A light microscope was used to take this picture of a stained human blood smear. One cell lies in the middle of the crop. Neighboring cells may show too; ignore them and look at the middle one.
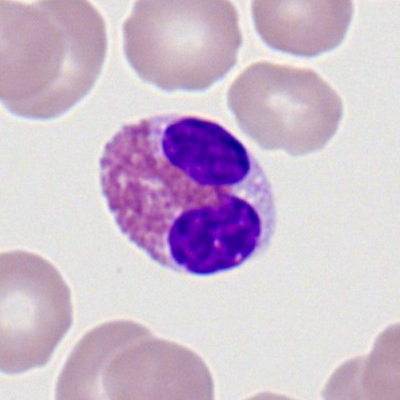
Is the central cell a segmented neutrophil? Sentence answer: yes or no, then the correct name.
No, the central cell is classed as an eosinophil and not as a segmented neutrophil.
